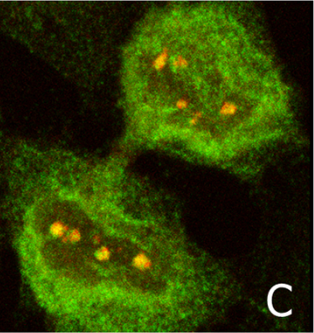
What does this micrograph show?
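Two neighbouring cells are shown with green fluorescence spread through the cytoplasm as a fine network and more faintly over the nuclei. Within each nucleus several small round bright spots appear yellow to orange, where the red and green signals overlap. The spots are clustered in the nuclear region, while the cytoplasm remains mostly green.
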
